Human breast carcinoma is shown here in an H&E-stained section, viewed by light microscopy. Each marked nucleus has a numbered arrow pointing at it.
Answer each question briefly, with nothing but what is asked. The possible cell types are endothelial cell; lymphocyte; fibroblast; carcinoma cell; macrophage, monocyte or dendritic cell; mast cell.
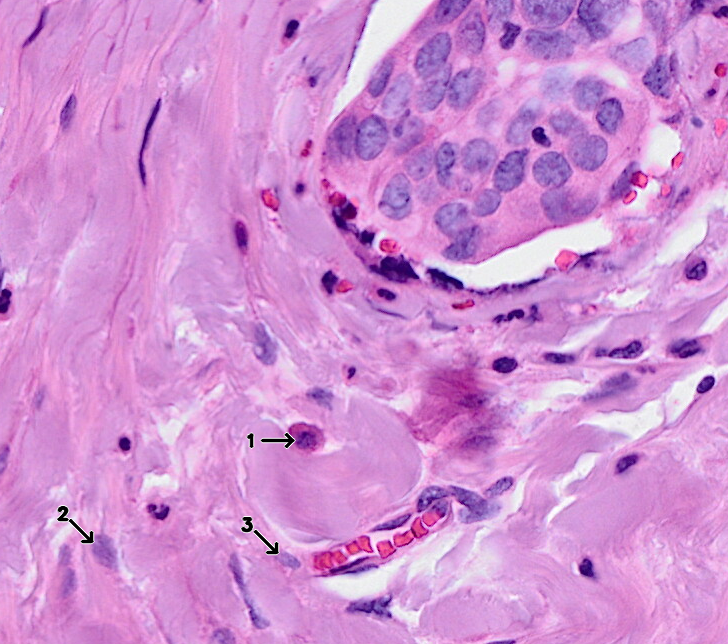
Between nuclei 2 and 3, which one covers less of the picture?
3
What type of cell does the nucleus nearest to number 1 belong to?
fibroblast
